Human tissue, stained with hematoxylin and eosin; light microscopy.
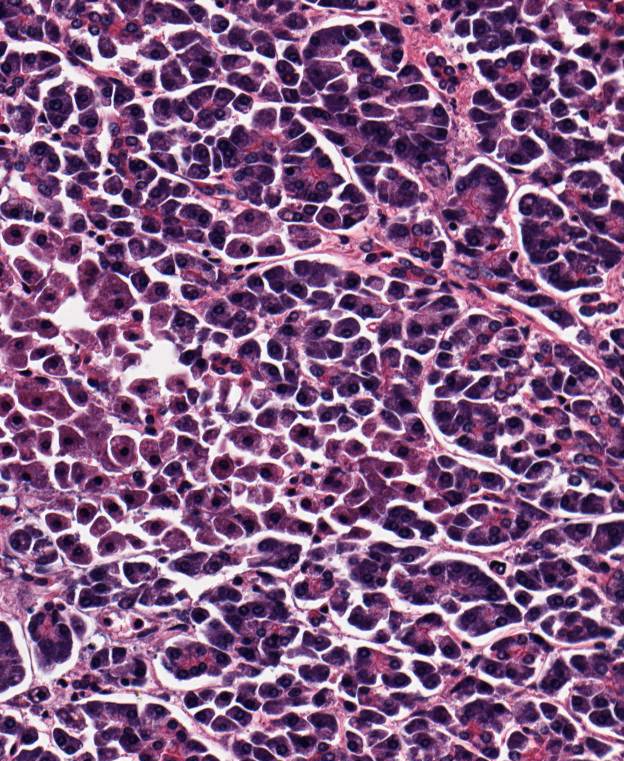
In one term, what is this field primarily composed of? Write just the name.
exocrine pancreas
